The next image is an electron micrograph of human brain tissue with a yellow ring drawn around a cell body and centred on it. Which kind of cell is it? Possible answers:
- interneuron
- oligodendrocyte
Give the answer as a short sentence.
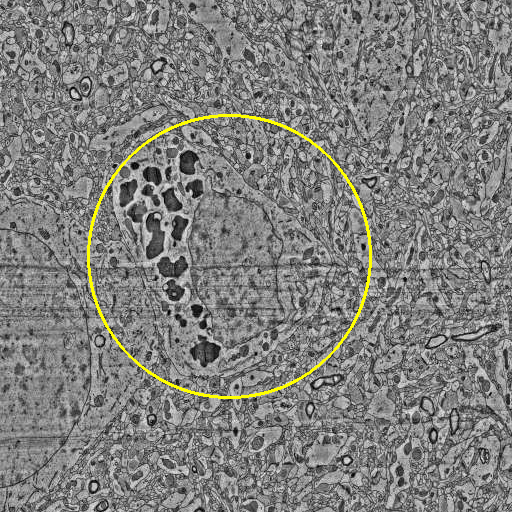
In the ring's centre is an interneuron.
